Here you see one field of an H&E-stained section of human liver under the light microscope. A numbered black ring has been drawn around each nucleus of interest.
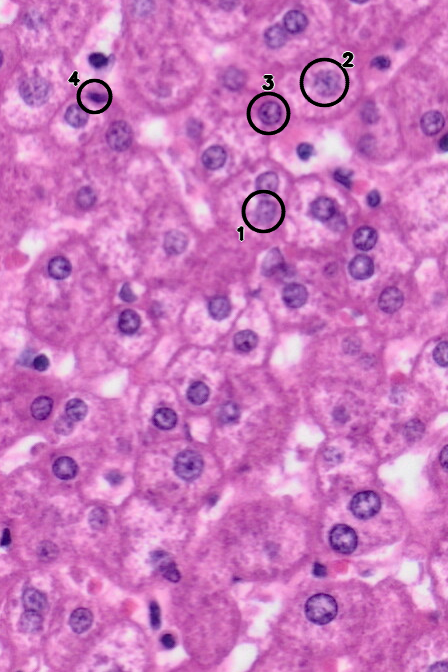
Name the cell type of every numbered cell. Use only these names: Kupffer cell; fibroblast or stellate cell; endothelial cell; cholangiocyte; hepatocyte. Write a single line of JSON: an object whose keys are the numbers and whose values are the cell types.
{"1": "hepatocyte", "2": "hepatocyte", "3": "hepatocyte", "4": "fibroblast or stellate cell"}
